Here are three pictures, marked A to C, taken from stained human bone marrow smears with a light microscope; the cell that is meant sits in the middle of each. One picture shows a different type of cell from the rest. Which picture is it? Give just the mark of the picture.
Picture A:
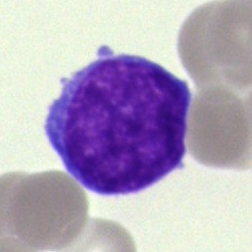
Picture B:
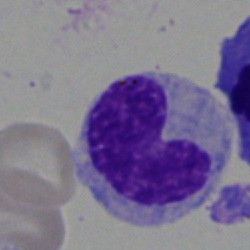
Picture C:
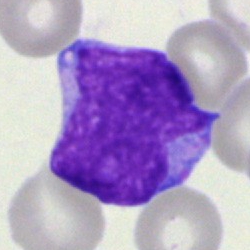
B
